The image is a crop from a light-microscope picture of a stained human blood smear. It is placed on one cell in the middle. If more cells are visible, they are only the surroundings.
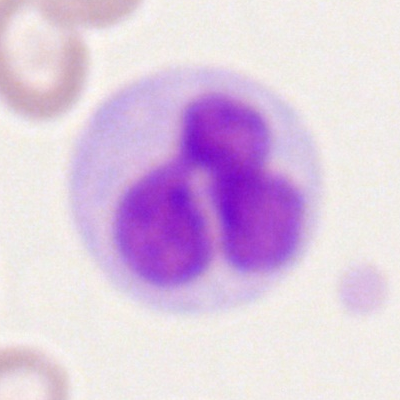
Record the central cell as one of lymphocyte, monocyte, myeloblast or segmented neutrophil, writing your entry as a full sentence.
Regarding the central cell, it is a monocyte.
